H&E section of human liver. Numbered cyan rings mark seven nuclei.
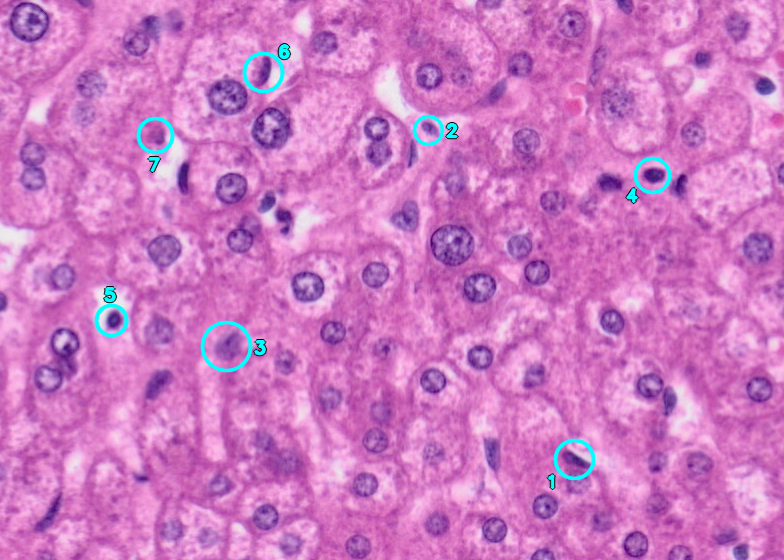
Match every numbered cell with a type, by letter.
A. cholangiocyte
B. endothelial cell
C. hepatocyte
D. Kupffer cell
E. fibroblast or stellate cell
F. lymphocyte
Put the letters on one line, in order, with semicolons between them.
E; F; B; F; F; B; D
